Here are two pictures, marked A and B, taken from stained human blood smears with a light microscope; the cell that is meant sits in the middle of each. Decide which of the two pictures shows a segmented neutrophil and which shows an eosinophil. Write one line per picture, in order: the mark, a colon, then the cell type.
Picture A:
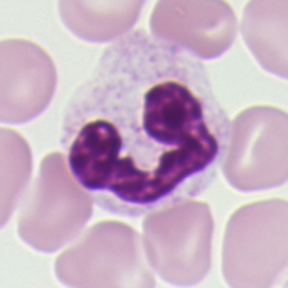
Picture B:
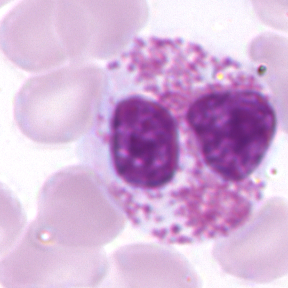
A: segmented neutrophil
B: eosinophil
